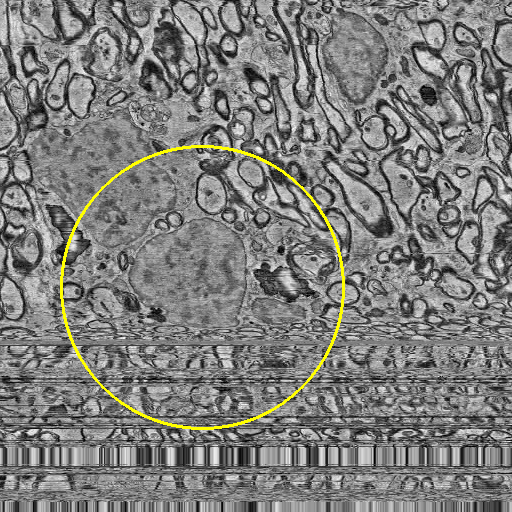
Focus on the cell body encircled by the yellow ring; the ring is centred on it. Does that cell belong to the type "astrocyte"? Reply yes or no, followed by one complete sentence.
No, the cell lying at the centre of the ring in the picture is another type.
